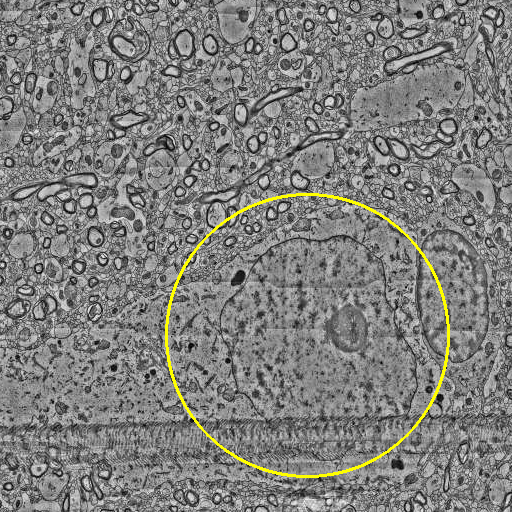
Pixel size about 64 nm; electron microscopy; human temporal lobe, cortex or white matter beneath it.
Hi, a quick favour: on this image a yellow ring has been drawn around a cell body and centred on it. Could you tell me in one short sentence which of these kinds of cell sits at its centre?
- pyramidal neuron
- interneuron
The ring is centred on a pyramidal neuron.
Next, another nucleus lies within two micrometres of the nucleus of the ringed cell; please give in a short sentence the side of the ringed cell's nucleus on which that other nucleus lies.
The second nucleus is to the right of it.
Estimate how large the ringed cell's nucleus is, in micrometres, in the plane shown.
In this plane, the nucleus is roughly 15 by 12 micrometres.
